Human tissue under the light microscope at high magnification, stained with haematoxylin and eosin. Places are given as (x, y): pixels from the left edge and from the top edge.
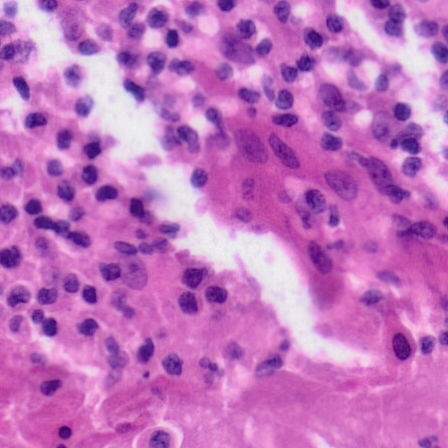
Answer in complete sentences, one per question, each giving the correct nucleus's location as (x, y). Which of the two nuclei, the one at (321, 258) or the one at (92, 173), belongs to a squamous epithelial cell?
The nucleus lying at (321, 258) is the nucleus of a squamous epithelial cell.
